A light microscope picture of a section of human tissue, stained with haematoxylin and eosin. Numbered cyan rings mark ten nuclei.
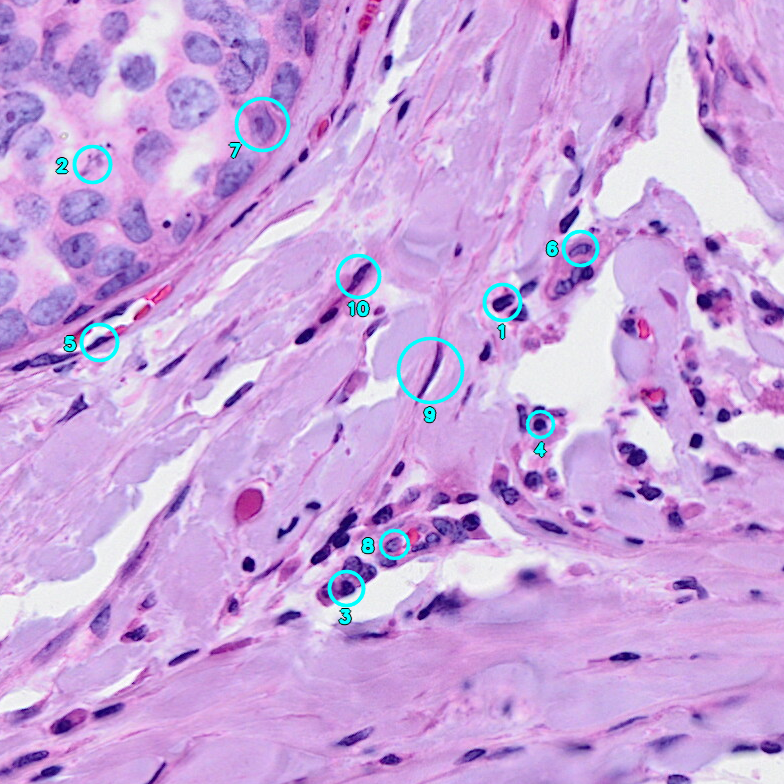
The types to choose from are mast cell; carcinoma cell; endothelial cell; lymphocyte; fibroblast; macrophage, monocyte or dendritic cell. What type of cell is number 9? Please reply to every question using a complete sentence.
The identity of cell 9 is that of a fibroblast.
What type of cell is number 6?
Identified as an endothelial cell is the cell bearing the number 6.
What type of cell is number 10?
At number 10, the marked cell is a fibroblast.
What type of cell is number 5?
Marked with the number 5, this cell is an endothelial cell.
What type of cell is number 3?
At number 3, the marked cell is a lymphocyte.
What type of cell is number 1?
That cell with number 1 is a lymphocyte.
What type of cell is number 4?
The numeral 4 marks a lymphocyte in this section.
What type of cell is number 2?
Cell 2 should be recorded as a carcinoma cell.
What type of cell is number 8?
The mark numbered 8 indicates the nucleus of an endothelial cell.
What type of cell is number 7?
The cell pointed out as number 7 is a carcinoma cell.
